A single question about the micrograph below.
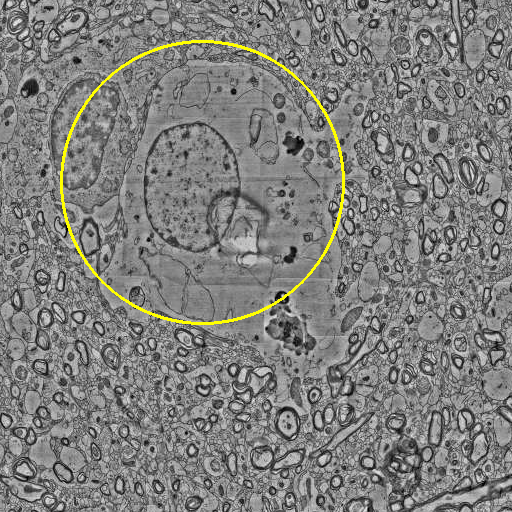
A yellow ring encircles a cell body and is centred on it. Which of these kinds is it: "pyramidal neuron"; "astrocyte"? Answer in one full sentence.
The cell body at the centre of the yellow ring belongs to an astrocyte.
